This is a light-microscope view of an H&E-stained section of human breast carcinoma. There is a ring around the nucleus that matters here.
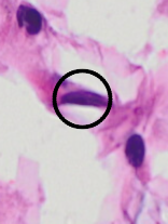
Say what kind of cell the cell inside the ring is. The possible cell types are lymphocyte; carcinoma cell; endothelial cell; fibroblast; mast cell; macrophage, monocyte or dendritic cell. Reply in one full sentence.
As far as its identity is concerned, the cell inside the ring is an endothelial cell.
